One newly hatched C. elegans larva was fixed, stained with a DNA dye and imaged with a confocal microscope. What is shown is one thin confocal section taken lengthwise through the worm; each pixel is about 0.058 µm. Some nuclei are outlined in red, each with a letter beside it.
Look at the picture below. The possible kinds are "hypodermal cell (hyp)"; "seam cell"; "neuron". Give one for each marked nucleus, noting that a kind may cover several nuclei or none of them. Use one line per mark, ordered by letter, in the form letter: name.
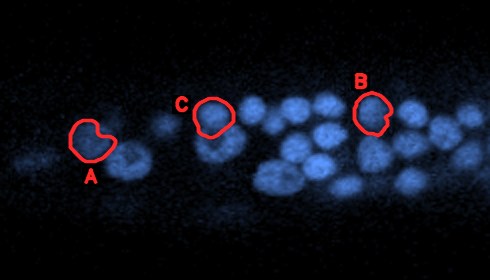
A: hypodermal cell (hyp)
B: neuron
C: neuron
